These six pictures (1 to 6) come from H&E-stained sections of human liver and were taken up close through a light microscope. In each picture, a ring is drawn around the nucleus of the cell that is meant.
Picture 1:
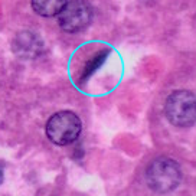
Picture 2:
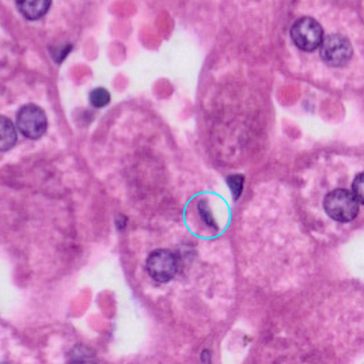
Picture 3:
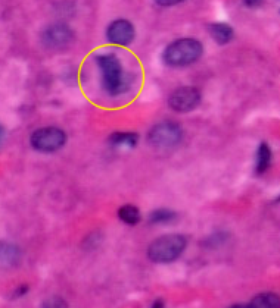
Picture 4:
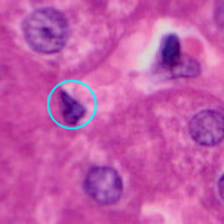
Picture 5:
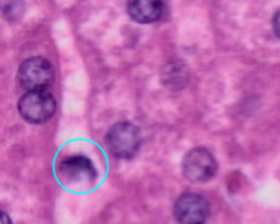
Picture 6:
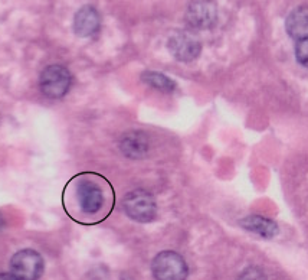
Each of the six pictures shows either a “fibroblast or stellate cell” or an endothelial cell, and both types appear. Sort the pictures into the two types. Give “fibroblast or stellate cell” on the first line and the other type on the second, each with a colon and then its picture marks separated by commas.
fibroblast or stellate cell: 3, 6
endothelial cell: 1, 2, 4, 5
